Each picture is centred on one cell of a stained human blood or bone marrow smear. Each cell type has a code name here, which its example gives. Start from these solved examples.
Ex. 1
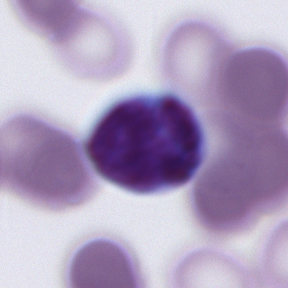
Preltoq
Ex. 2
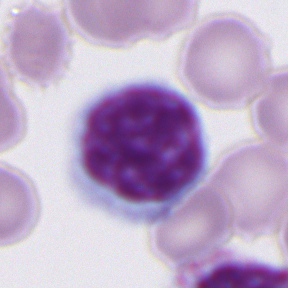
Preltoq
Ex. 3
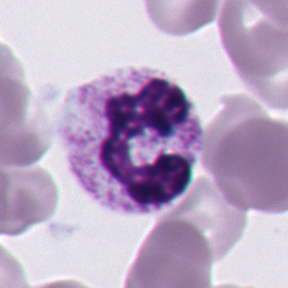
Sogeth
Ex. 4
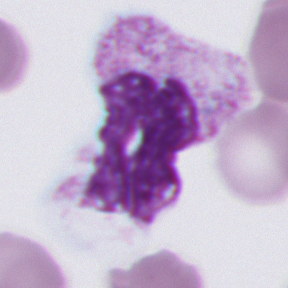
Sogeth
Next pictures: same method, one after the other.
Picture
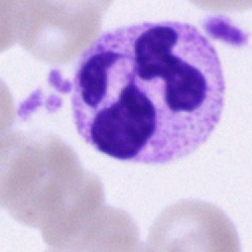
Sogeth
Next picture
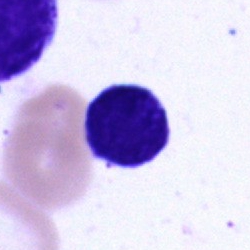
Preltoq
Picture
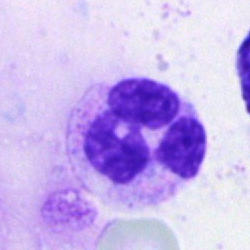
Sogeth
